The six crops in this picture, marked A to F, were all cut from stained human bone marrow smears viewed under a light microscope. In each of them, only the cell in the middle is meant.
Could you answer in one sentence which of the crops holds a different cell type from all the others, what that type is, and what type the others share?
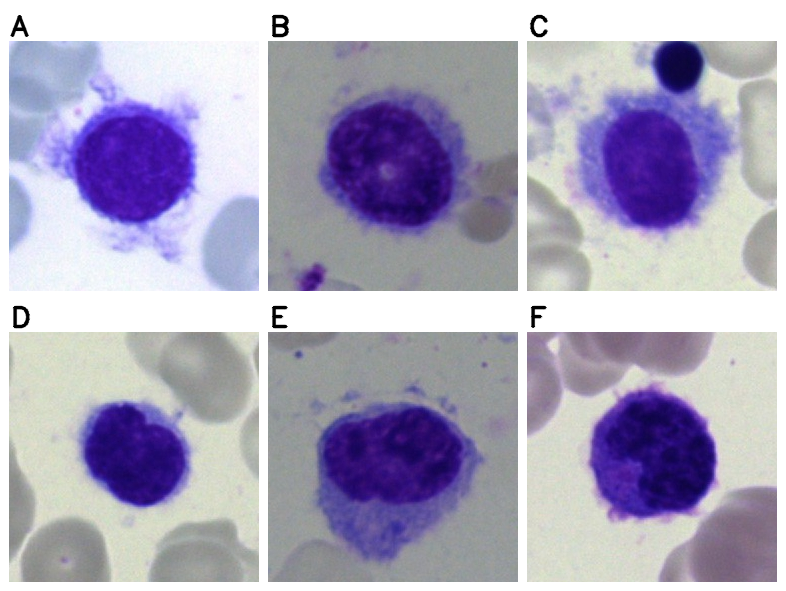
Crop F is the different one, a monocyte, while the rest are hairy cells.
